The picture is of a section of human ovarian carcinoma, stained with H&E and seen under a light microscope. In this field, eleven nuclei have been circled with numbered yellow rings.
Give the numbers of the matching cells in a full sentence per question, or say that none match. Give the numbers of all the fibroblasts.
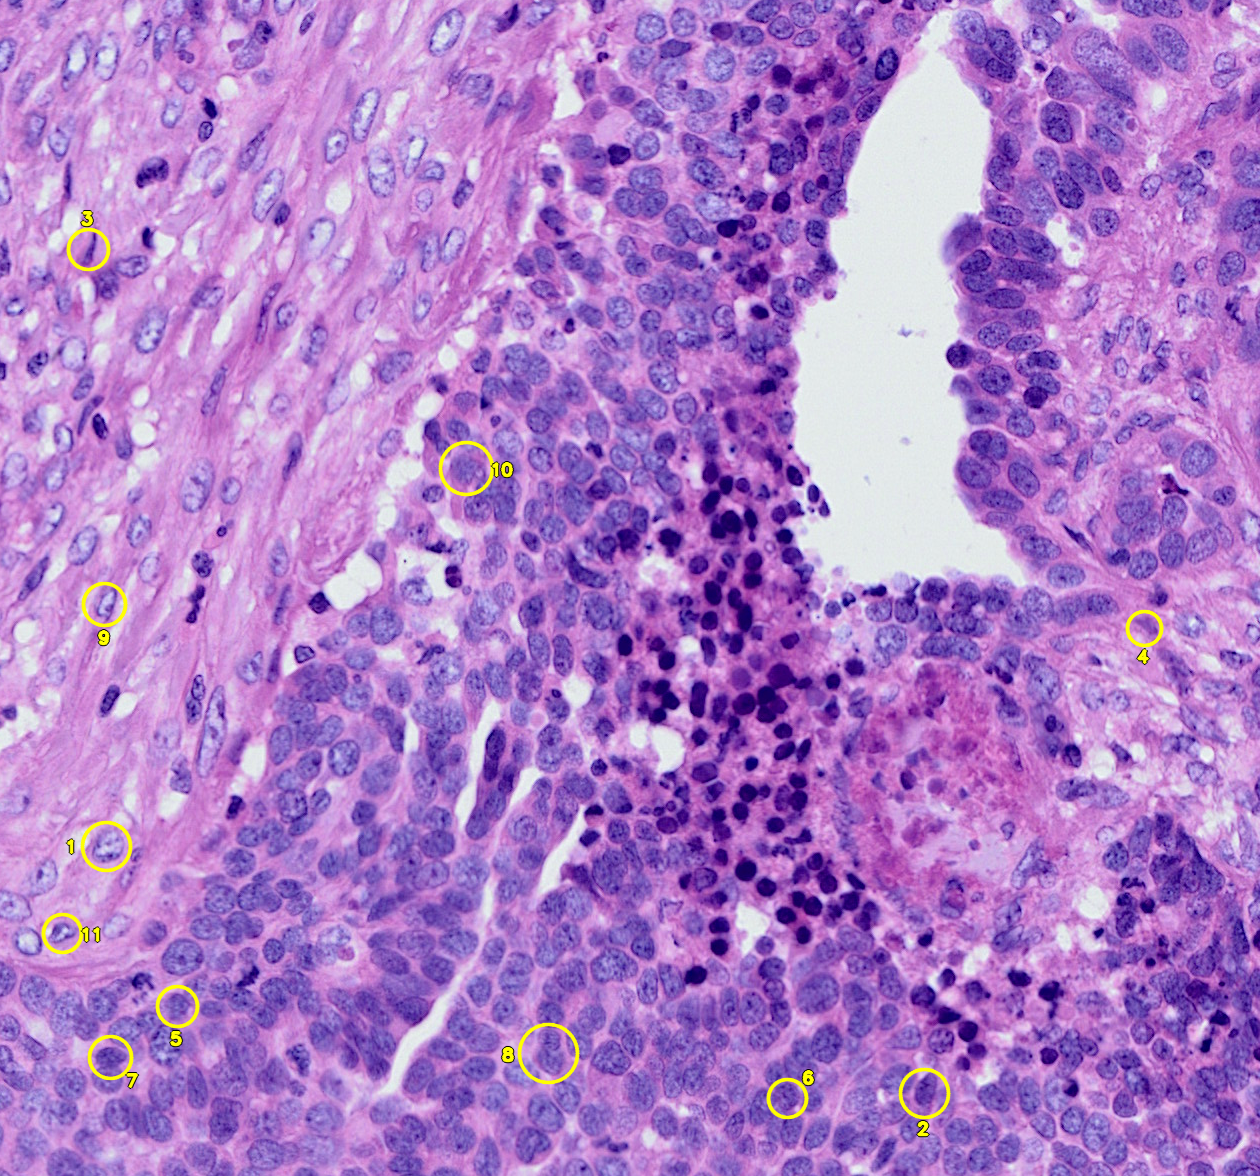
The numbers 1, 3, 4, 9 and 11 refer to cells that are fibroblasts.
